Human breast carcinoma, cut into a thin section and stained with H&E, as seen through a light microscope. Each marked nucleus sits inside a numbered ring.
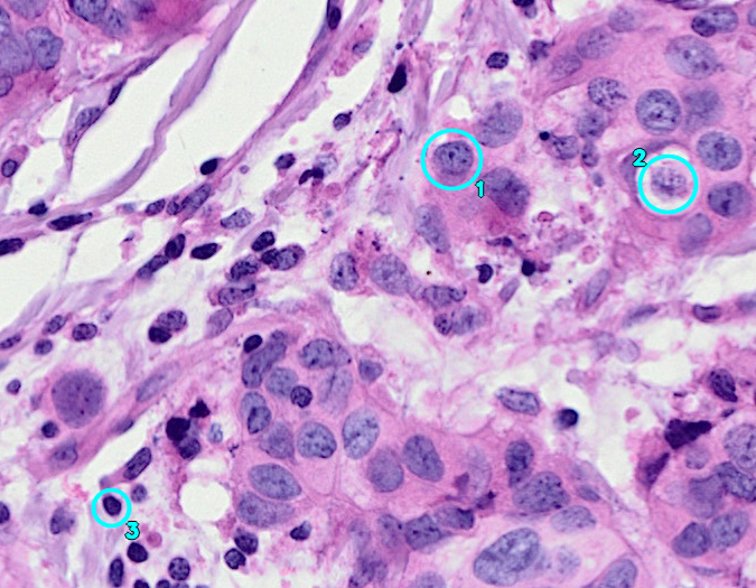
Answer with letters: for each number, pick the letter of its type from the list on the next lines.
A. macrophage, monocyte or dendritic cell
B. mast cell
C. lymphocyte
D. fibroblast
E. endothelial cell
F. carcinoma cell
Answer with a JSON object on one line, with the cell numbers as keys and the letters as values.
{"1": "F", "2": "F", "3": "C"}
